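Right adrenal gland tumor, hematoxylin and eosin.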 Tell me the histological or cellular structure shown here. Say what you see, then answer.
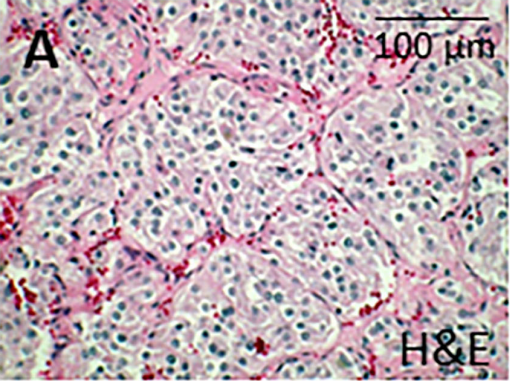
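Polygonal cells are grouped in rounded clusters. Thin pink fibrovascular septa with red blood cells surround each cluster. On this evidence: Nest arrangement.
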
